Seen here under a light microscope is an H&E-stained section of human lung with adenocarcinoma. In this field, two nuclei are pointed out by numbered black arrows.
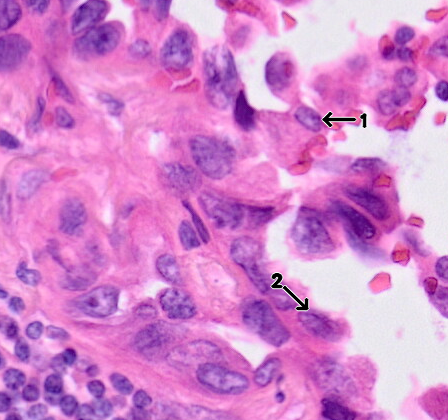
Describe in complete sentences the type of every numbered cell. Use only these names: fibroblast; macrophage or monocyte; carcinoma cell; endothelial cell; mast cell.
Cell 1 is a macrophage or monocyte. Cell 2 is a carcinoma cell.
